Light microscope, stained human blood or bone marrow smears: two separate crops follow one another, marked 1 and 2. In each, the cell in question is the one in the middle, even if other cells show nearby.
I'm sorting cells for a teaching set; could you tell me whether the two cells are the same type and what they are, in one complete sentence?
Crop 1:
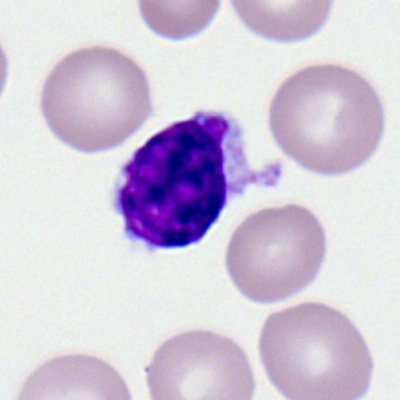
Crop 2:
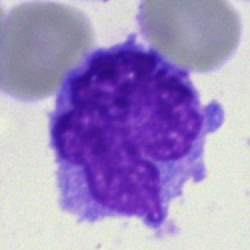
No, crop 1 presents a lymphocyte, whereas crop 2 presents a monocyte.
